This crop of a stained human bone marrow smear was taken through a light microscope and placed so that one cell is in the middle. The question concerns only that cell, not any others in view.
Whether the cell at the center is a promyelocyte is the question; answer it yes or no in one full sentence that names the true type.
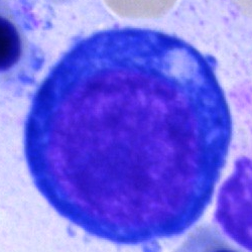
No, the cell in the middle is correctly named a proerythroblast, not a promyelocyte.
